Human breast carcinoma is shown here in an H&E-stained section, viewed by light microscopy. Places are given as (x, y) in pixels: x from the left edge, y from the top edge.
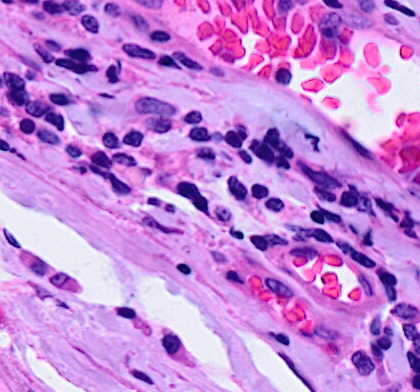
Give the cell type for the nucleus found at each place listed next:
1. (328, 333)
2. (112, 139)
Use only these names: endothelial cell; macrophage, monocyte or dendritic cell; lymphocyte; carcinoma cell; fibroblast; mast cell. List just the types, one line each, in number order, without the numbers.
endothelial cell
lymphocyte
